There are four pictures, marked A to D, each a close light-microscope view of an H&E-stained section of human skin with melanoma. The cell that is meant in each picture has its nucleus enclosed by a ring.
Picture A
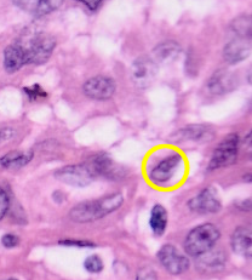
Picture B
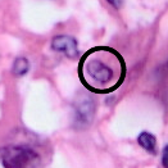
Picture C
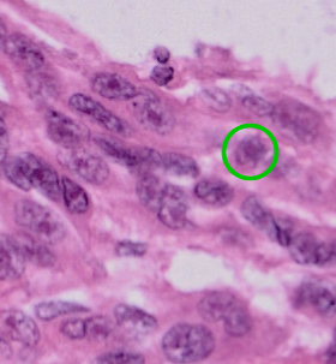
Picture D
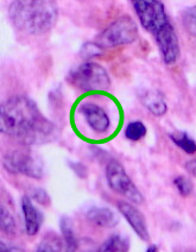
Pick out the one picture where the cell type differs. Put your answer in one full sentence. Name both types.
The others show “macrophages or monocytes”, but picture C shows a melanoma cell.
